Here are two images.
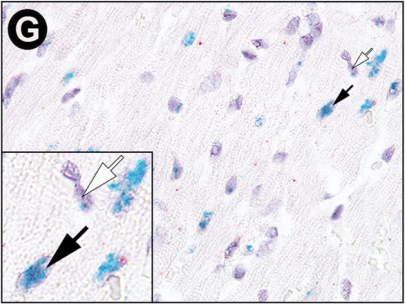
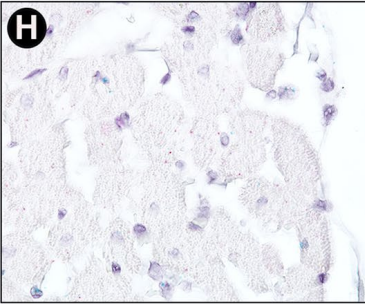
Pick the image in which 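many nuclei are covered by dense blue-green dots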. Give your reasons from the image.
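Second image: nuclei are purple with almost no blue-green dots. First image: many elongated nuclei between muscle fibres are covered by clusters of blue-green dots.
The first image.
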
